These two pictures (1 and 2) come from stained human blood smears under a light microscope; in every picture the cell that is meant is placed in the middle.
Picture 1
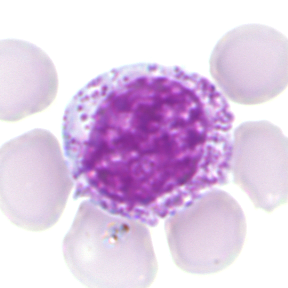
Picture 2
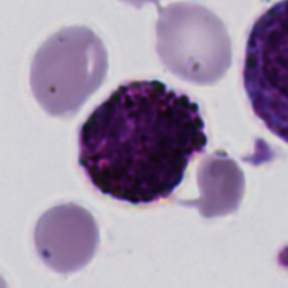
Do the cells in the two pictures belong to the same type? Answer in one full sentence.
No; the cell in picture 1 is a myelocyte, while the one in picture 2 is a basophil.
